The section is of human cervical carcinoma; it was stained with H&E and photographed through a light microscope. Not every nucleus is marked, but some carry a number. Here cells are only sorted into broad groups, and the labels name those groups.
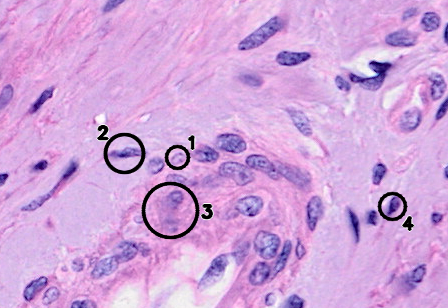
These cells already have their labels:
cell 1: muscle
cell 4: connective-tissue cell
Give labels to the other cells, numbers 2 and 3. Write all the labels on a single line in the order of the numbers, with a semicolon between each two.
connective-tissue cell; muscle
